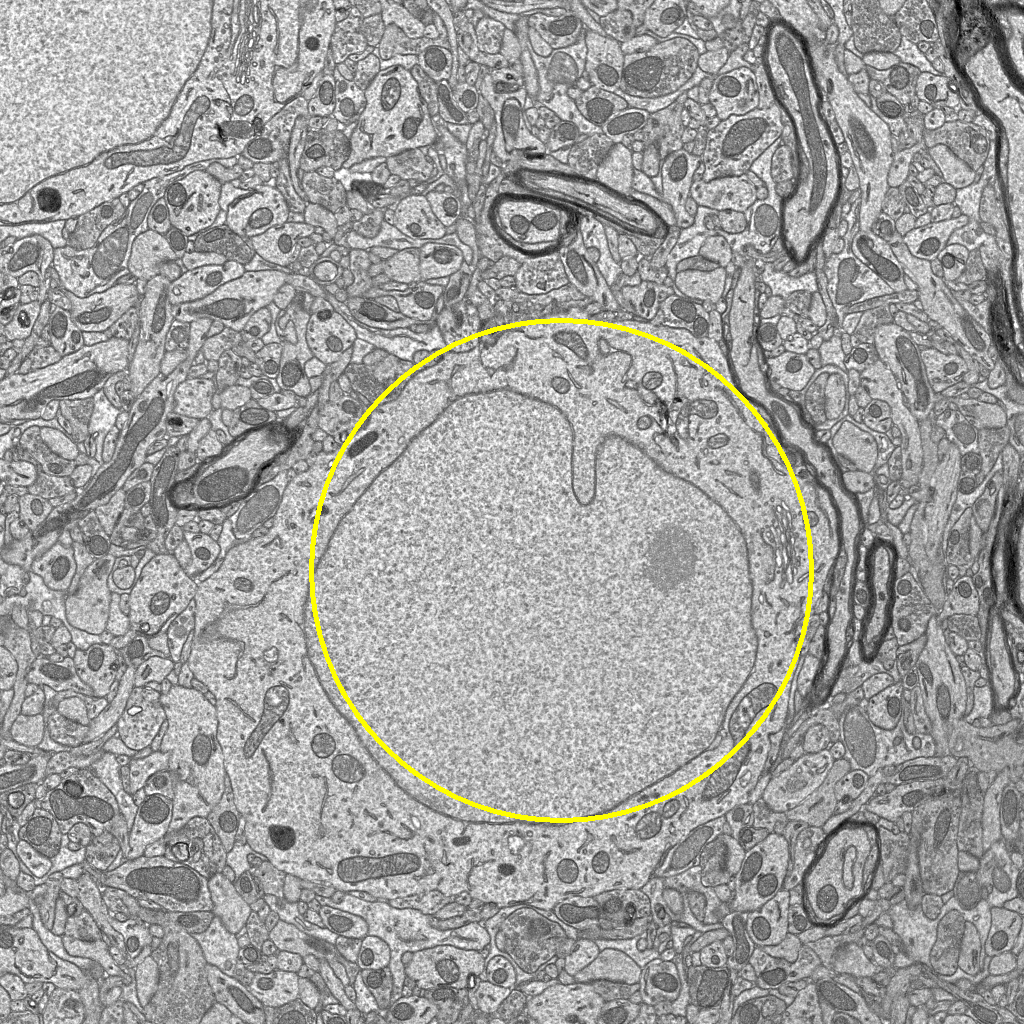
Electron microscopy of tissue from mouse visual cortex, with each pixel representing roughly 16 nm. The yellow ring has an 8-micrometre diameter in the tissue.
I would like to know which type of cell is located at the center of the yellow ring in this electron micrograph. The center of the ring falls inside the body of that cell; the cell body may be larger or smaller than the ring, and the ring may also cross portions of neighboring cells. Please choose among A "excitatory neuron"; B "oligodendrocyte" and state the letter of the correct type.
A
